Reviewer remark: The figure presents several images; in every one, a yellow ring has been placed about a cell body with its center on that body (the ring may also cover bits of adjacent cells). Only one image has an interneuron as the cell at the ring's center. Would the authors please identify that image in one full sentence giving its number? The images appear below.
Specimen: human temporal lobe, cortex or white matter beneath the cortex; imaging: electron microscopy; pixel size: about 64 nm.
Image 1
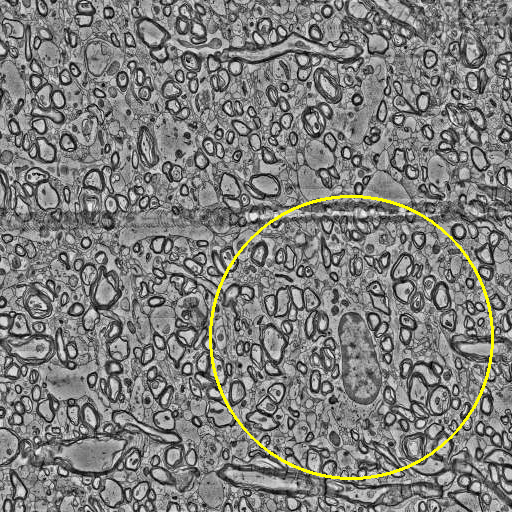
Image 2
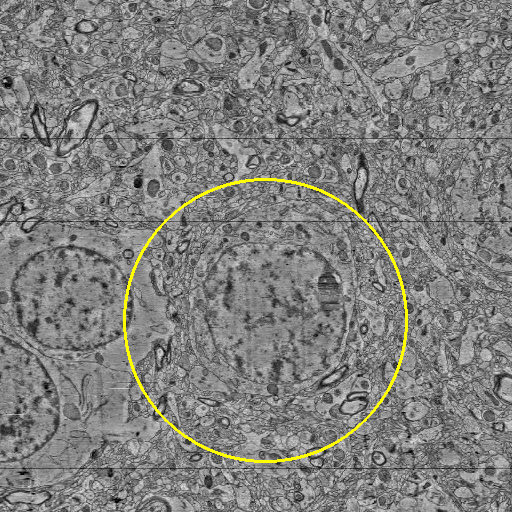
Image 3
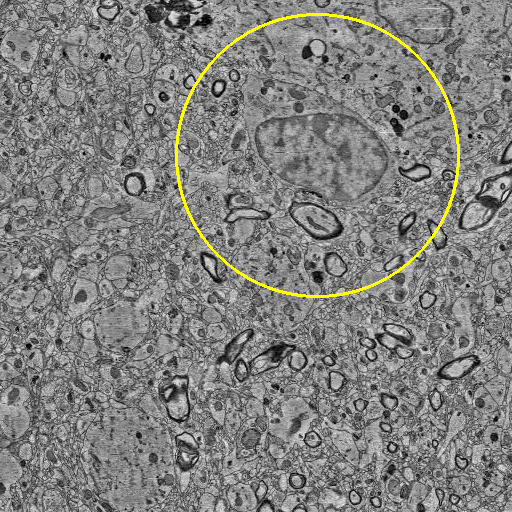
The ring's central cell in image 2 is the one the question describes.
